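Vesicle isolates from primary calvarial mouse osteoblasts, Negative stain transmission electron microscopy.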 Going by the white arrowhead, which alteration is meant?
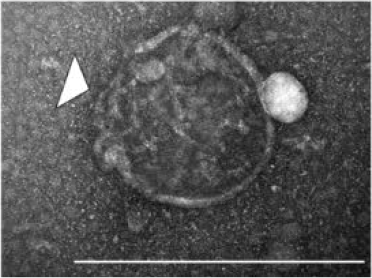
Disrupted or crenelated membranes.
